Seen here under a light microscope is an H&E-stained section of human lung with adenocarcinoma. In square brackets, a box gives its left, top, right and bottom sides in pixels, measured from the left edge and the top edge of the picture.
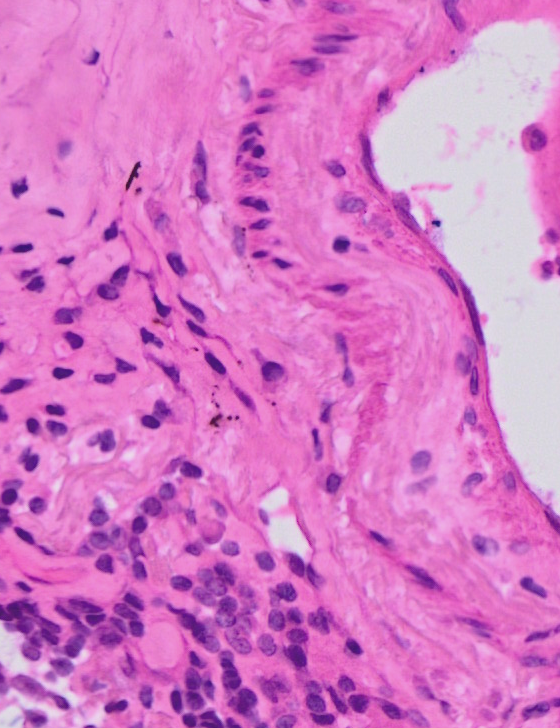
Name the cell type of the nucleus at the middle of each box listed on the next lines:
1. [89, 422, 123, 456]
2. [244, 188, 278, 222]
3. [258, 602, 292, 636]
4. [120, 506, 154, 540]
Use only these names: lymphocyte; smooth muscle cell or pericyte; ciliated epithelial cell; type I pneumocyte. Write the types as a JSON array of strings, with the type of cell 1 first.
["lymphocyte", "smooth muscle cell or pericyte", "lymphocyte", "lymphocyte"]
